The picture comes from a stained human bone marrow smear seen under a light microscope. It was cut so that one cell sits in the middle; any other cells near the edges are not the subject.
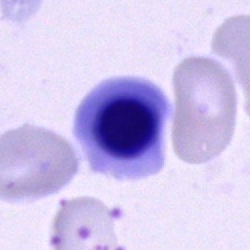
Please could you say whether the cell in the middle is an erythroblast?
yes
